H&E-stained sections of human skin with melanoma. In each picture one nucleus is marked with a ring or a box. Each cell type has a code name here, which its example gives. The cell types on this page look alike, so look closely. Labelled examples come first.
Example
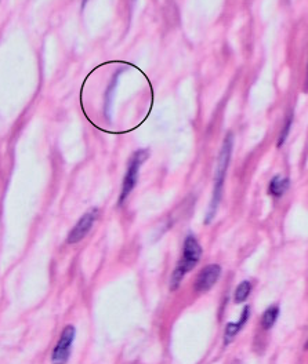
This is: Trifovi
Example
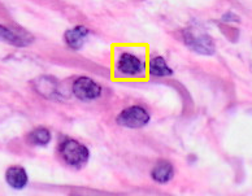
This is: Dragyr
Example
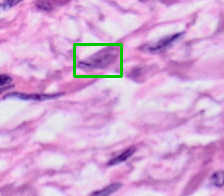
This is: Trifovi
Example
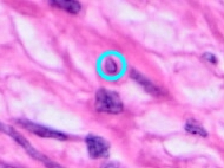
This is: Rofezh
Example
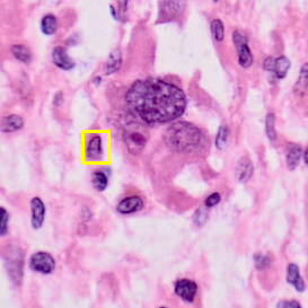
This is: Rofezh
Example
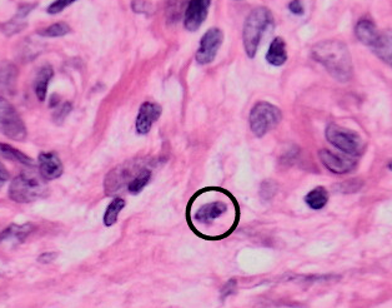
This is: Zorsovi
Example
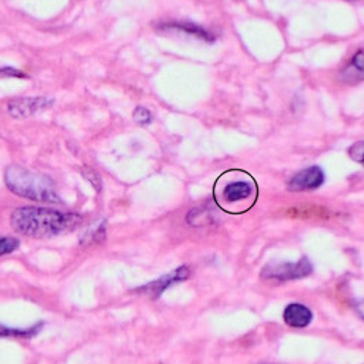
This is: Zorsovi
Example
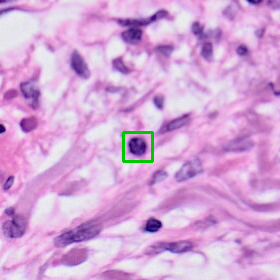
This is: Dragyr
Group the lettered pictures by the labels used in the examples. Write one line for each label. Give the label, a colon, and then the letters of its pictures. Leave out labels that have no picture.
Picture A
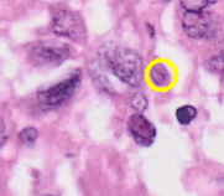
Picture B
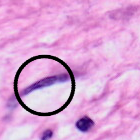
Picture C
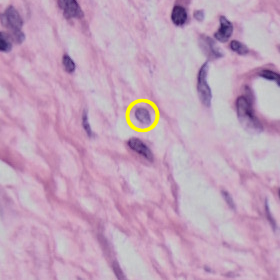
Trifovi: B
Rofezh: A, C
